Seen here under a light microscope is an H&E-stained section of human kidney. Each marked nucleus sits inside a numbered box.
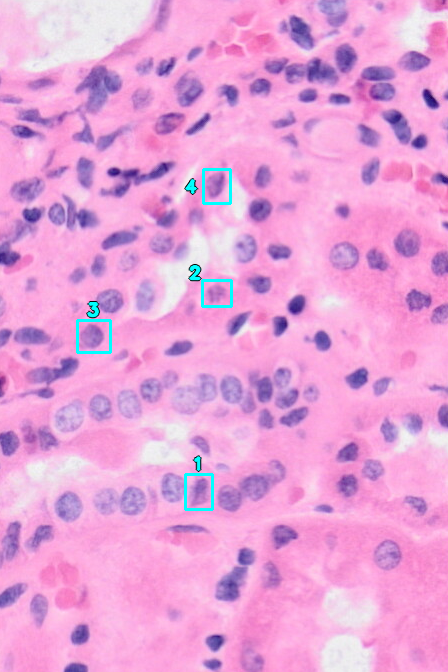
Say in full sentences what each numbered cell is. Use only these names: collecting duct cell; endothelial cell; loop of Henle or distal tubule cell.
Cell 1 is a collecting duct cell. Cells 2, 3 and 4 are loop of Henle or distal tubule cells.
